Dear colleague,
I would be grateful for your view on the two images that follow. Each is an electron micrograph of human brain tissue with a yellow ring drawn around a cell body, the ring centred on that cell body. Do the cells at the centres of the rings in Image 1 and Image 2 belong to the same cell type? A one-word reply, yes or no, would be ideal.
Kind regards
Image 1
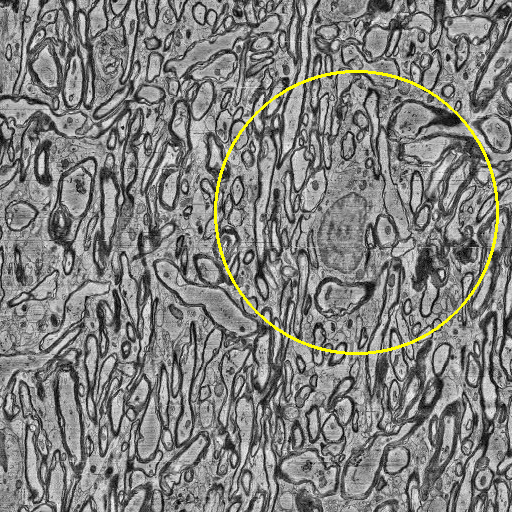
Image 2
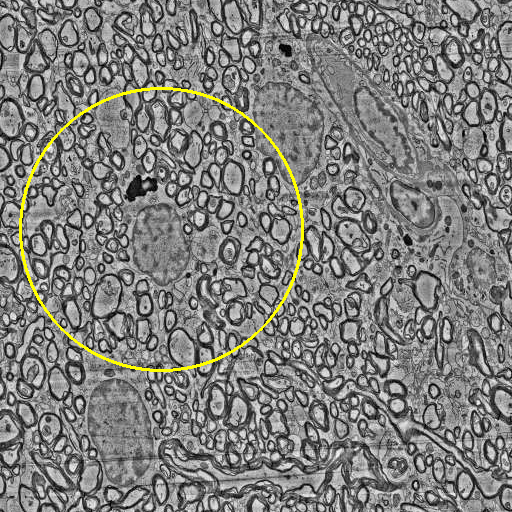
yes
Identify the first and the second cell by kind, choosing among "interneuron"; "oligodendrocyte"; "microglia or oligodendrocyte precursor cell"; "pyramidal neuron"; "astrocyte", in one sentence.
Both rings mark an oligodendrocyte, one in each picture.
